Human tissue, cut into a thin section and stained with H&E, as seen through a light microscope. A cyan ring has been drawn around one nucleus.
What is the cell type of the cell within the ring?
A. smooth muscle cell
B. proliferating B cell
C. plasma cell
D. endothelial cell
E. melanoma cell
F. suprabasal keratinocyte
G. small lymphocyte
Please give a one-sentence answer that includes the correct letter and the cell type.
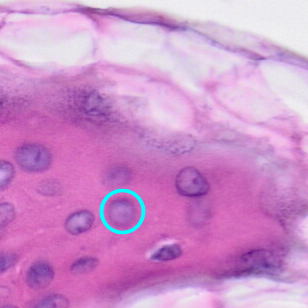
The correct option here, F, identifies the cell within the ring as a suprabasal keratinocyte.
